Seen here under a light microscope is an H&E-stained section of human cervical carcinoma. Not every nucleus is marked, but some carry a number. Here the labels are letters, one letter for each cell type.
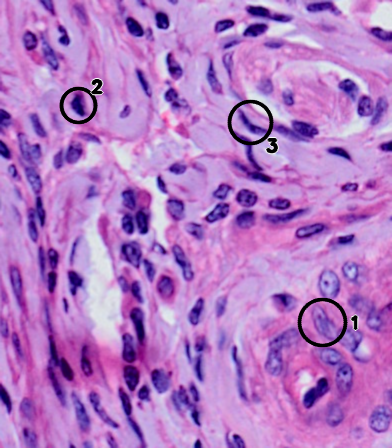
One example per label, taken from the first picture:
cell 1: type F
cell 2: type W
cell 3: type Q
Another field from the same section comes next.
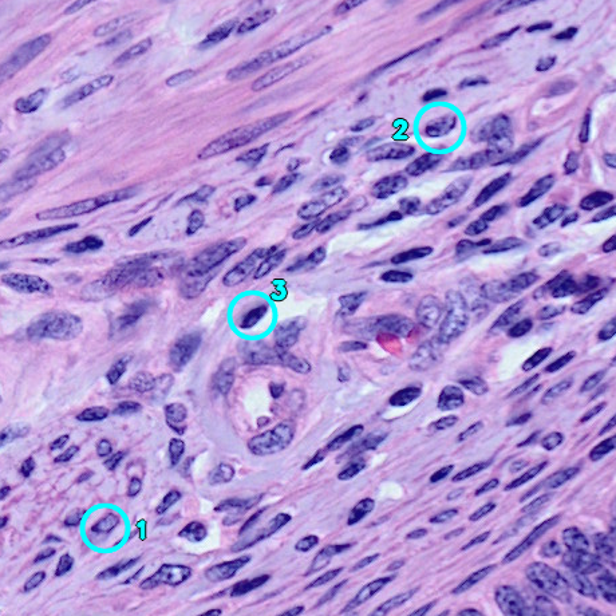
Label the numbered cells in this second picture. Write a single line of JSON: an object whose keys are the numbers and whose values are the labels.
{"1": "type F", "2": "type W", "3": "type W"}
